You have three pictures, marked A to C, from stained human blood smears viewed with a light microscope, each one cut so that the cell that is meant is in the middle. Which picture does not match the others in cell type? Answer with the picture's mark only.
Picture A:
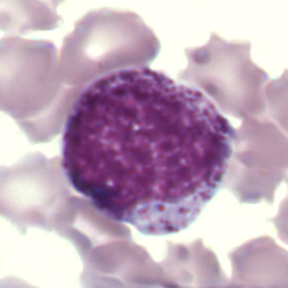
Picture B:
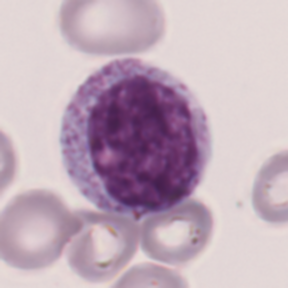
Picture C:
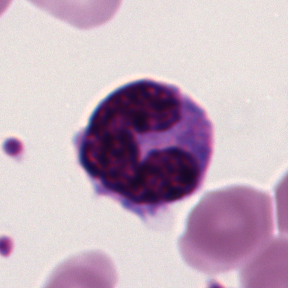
C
